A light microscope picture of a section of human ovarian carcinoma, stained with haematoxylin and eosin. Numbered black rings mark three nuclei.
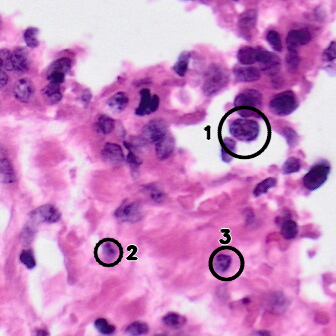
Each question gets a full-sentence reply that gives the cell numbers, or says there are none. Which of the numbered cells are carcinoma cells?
Only at number 1 is there a carcinoma cell among the marked cells.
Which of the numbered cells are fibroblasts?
Cell 2 is a fibroblast, whereas each of the other numbered cells is not.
